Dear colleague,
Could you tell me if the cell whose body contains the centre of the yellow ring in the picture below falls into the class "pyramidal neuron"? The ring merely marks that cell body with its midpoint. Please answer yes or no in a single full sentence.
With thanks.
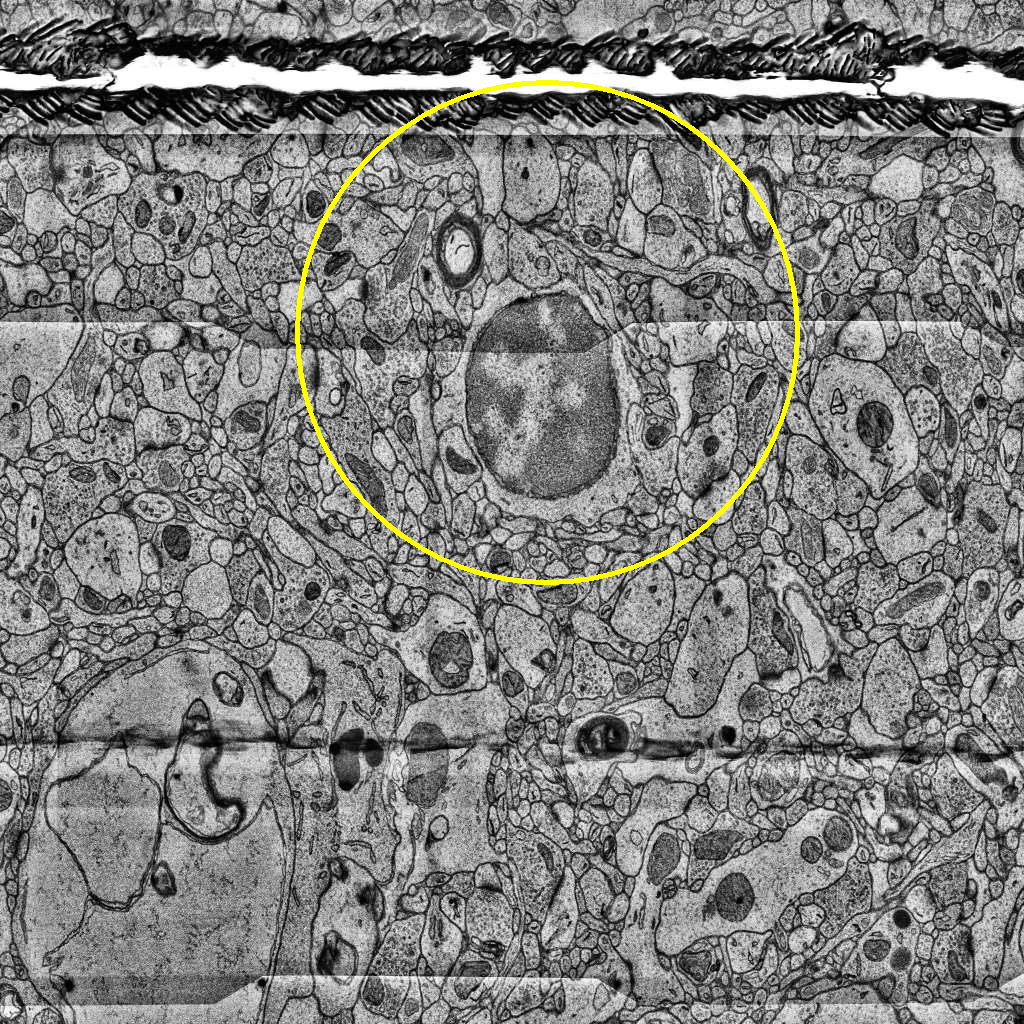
No, the cell containing the centre of the ring in your picture falls into a different class.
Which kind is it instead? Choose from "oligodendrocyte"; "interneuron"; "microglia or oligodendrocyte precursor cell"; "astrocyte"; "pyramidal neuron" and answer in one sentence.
The cell this ring marks is a microglial cell or oligodendrocyte precursor cell.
